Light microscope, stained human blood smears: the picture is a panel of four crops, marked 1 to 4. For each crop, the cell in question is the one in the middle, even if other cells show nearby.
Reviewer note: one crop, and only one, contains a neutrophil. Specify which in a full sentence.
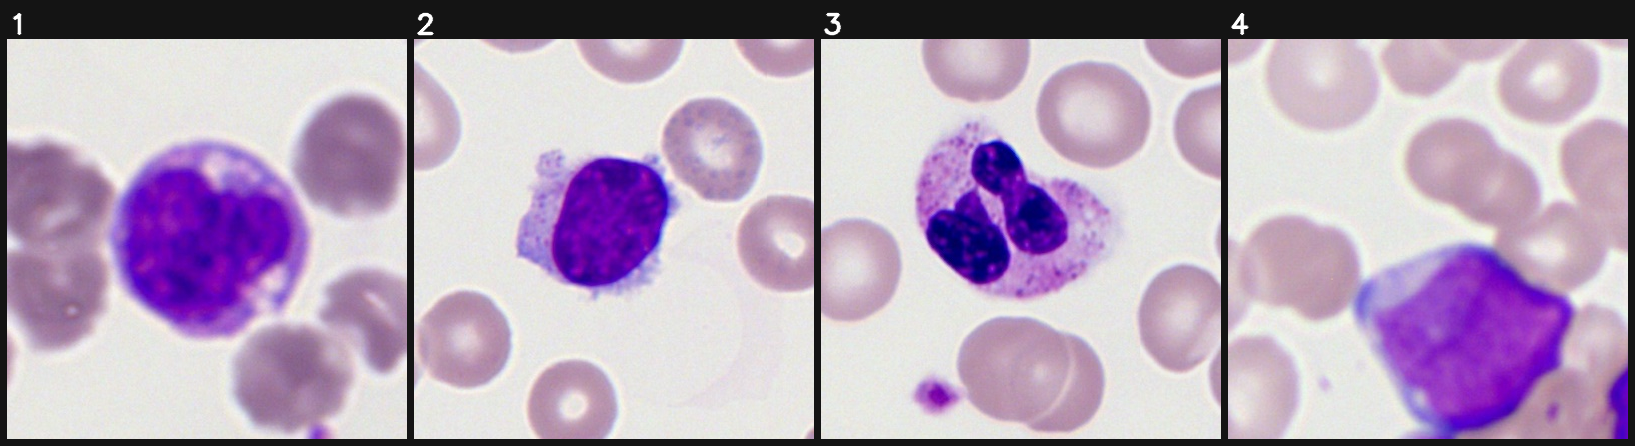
Among the crops provided, a neutrophil occupies the center of crop 3.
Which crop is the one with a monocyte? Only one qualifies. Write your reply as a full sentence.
Crop 1 is where a monocyte is to be found.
